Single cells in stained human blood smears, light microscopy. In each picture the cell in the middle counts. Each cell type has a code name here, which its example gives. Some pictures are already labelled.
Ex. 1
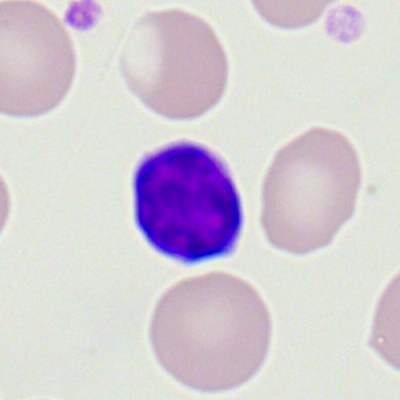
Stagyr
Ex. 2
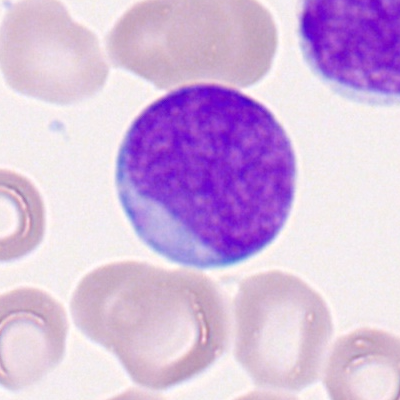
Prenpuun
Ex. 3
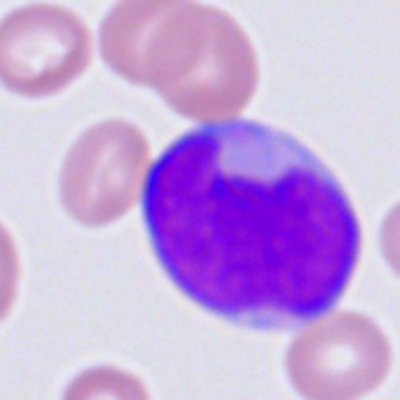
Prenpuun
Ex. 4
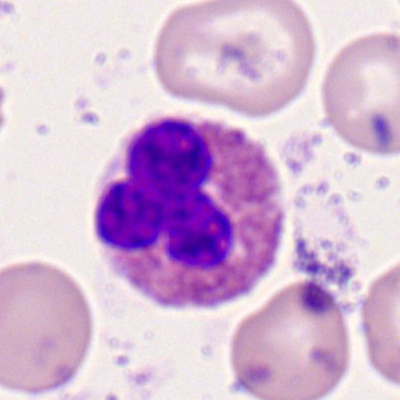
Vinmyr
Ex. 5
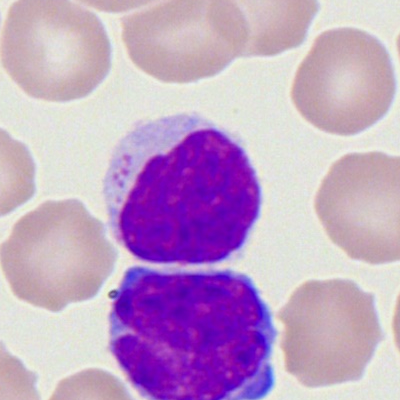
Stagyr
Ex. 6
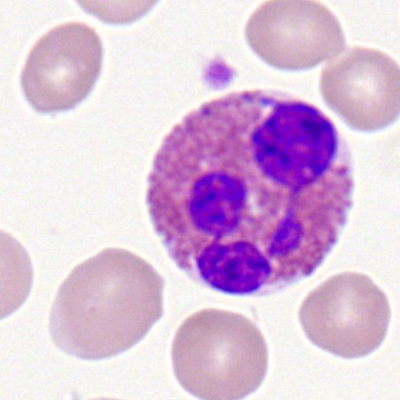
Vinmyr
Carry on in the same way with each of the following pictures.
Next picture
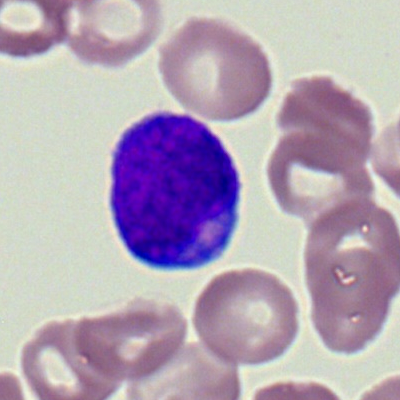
Stagyr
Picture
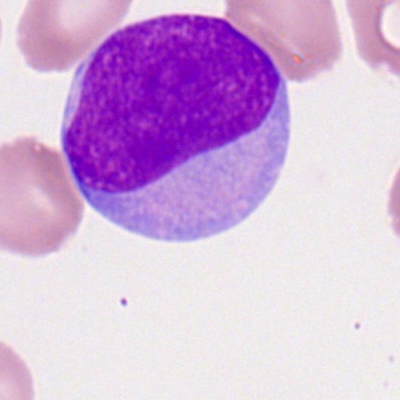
Prenpuun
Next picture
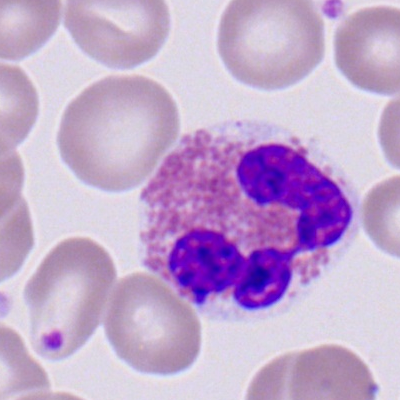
Vinmyr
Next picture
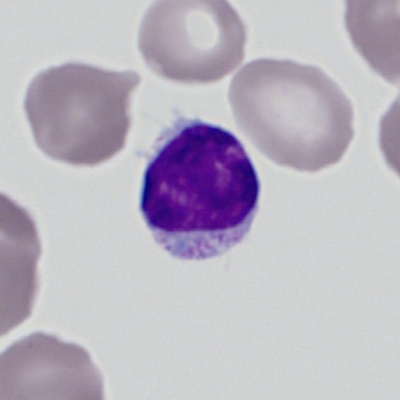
Stagyr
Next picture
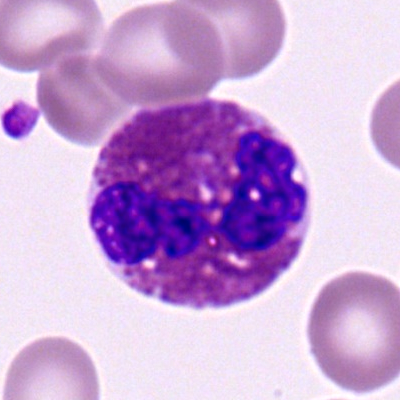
Vinmyr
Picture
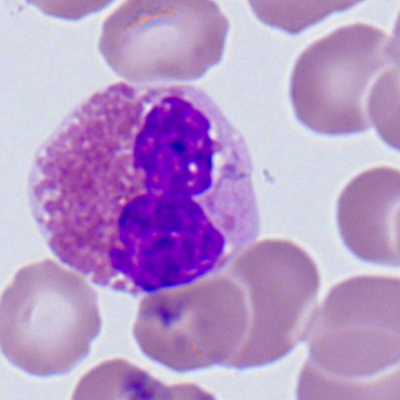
Vinmyr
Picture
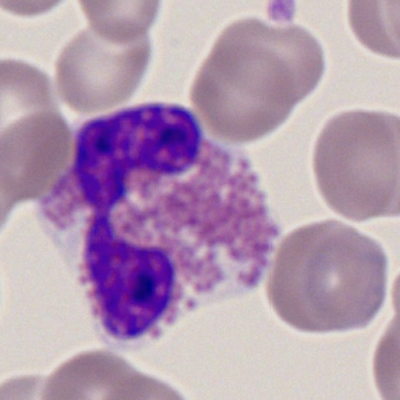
Vinmyr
